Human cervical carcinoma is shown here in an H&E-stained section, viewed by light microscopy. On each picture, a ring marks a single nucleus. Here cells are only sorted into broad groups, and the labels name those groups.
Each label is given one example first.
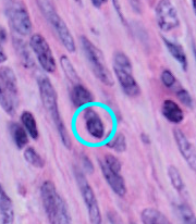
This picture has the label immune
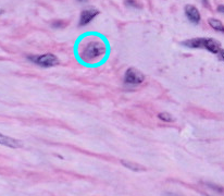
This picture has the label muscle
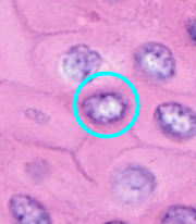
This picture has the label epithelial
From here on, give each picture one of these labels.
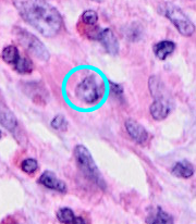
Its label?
immune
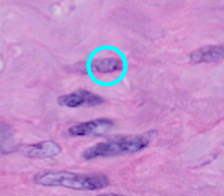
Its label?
muscle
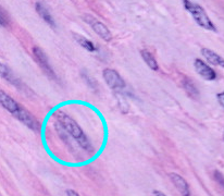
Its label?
muscle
